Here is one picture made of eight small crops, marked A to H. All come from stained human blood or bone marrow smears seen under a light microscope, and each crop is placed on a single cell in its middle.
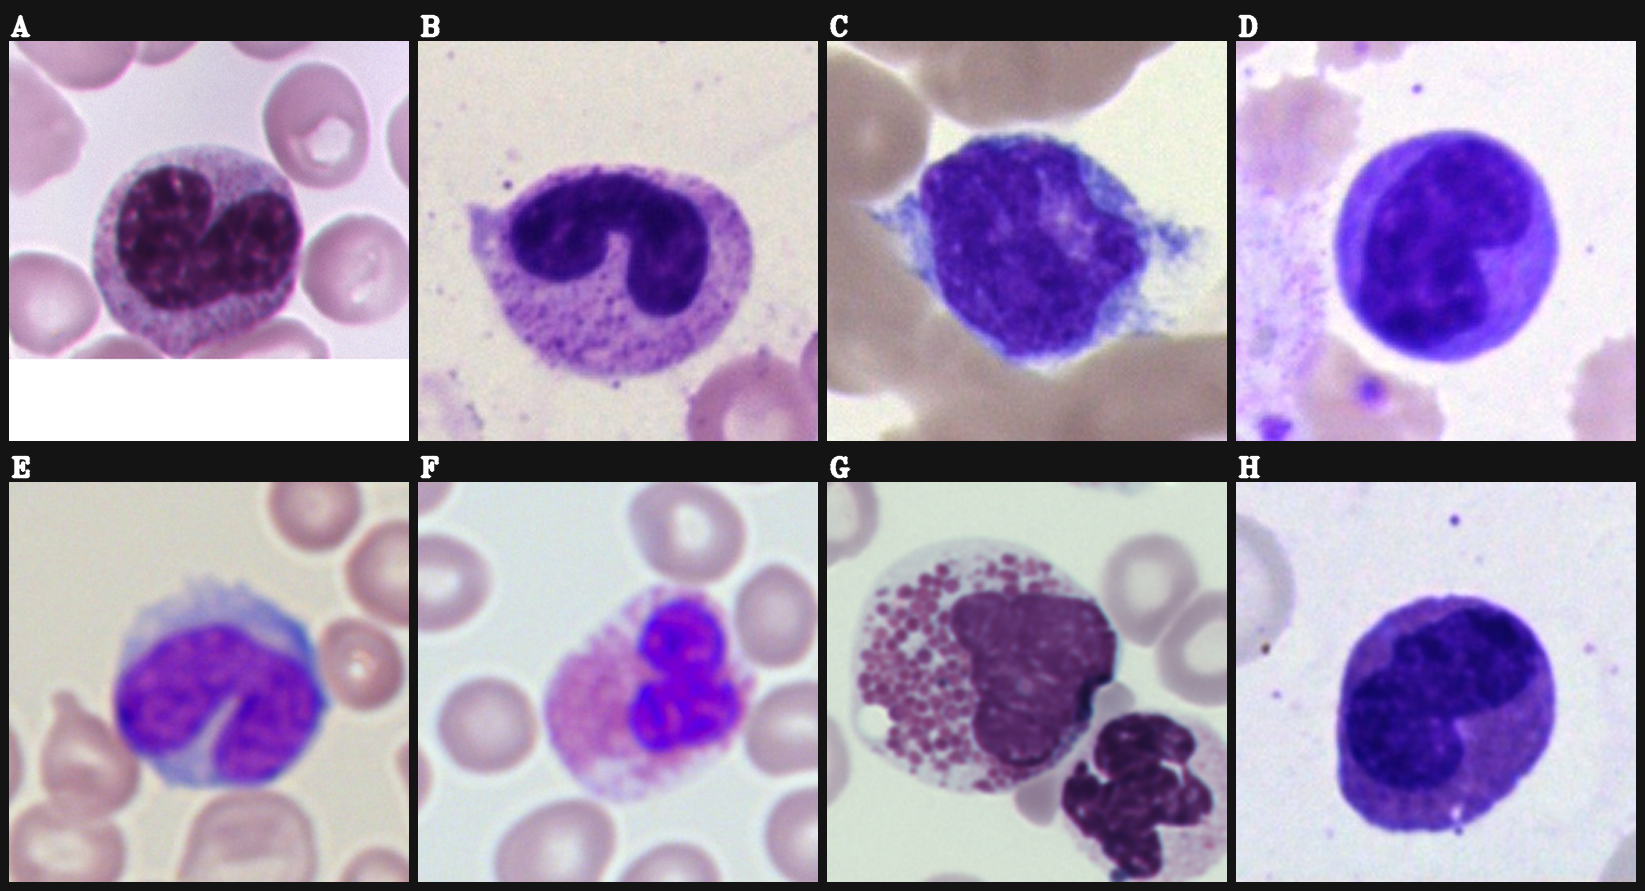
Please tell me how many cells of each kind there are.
monocyte: 3
eosinophil: 3
band neutrophil: 2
